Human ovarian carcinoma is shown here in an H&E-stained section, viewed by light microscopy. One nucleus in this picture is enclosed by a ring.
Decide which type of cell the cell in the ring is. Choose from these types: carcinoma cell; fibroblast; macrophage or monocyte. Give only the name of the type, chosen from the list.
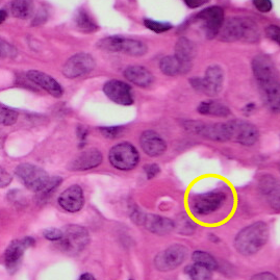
carcinoma cell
